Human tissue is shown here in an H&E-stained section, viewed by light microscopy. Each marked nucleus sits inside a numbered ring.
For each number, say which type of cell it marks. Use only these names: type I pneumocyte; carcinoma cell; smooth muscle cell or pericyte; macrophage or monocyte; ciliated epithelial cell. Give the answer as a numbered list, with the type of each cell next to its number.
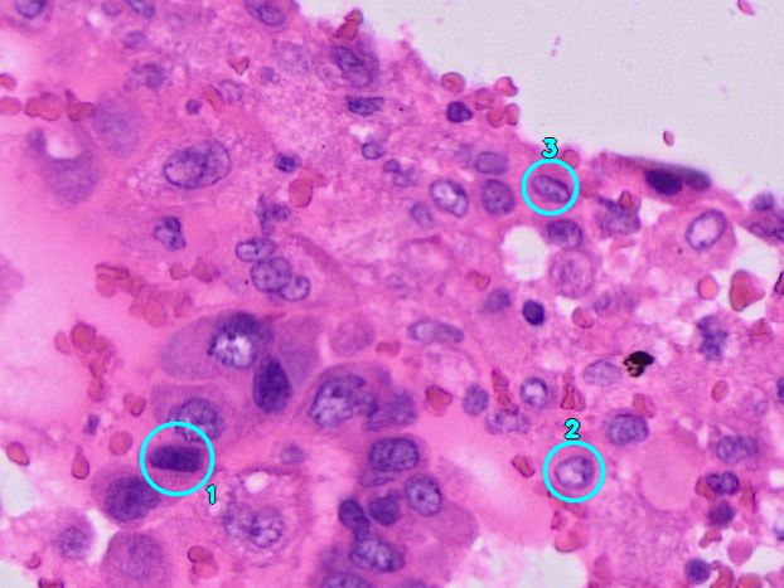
1. carcinoma cell
2. macrophage or monocyte
3. macrophage or monocyte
